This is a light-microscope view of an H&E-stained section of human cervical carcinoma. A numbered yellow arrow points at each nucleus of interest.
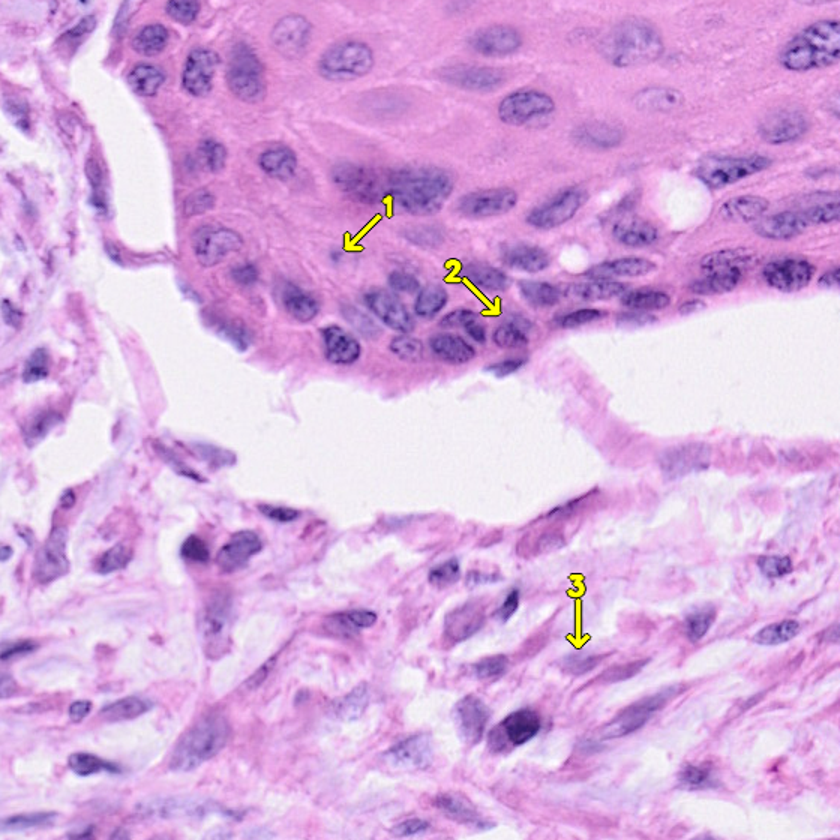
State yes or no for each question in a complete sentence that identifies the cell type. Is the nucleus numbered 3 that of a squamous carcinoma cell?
No, cell 3 is a fibroblast, not a squamous carcinoma cell.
